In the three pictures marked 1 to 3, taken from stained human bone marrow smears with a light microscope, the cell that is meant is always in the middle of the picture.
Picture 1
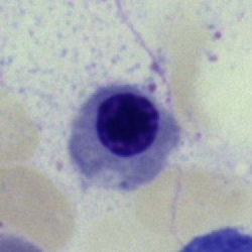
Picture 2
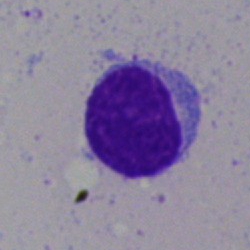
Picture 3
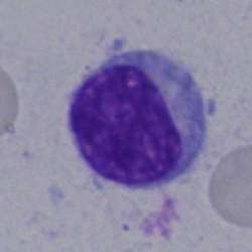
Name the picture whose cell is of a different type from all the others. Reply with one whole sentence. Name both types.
All pictures except 1 show lymphocytes; picture 1 shows an erythroblast.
